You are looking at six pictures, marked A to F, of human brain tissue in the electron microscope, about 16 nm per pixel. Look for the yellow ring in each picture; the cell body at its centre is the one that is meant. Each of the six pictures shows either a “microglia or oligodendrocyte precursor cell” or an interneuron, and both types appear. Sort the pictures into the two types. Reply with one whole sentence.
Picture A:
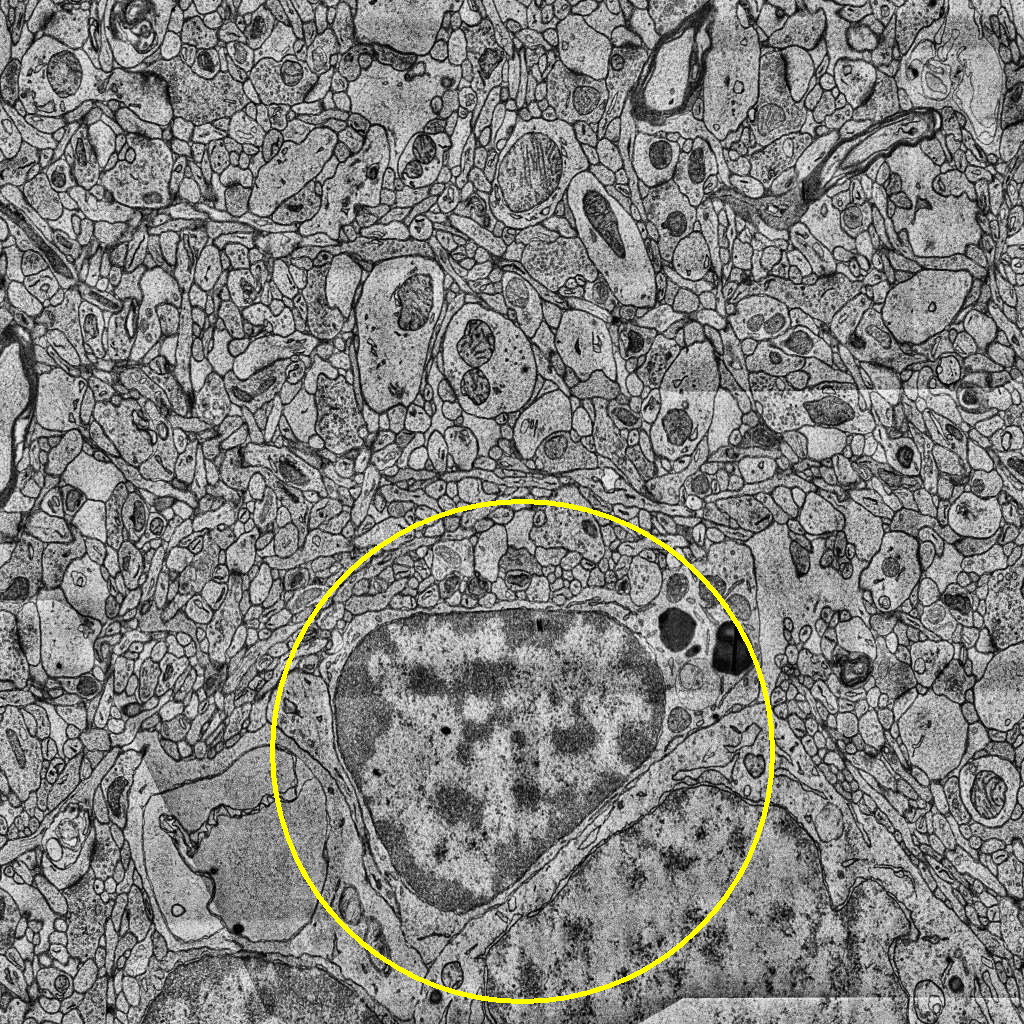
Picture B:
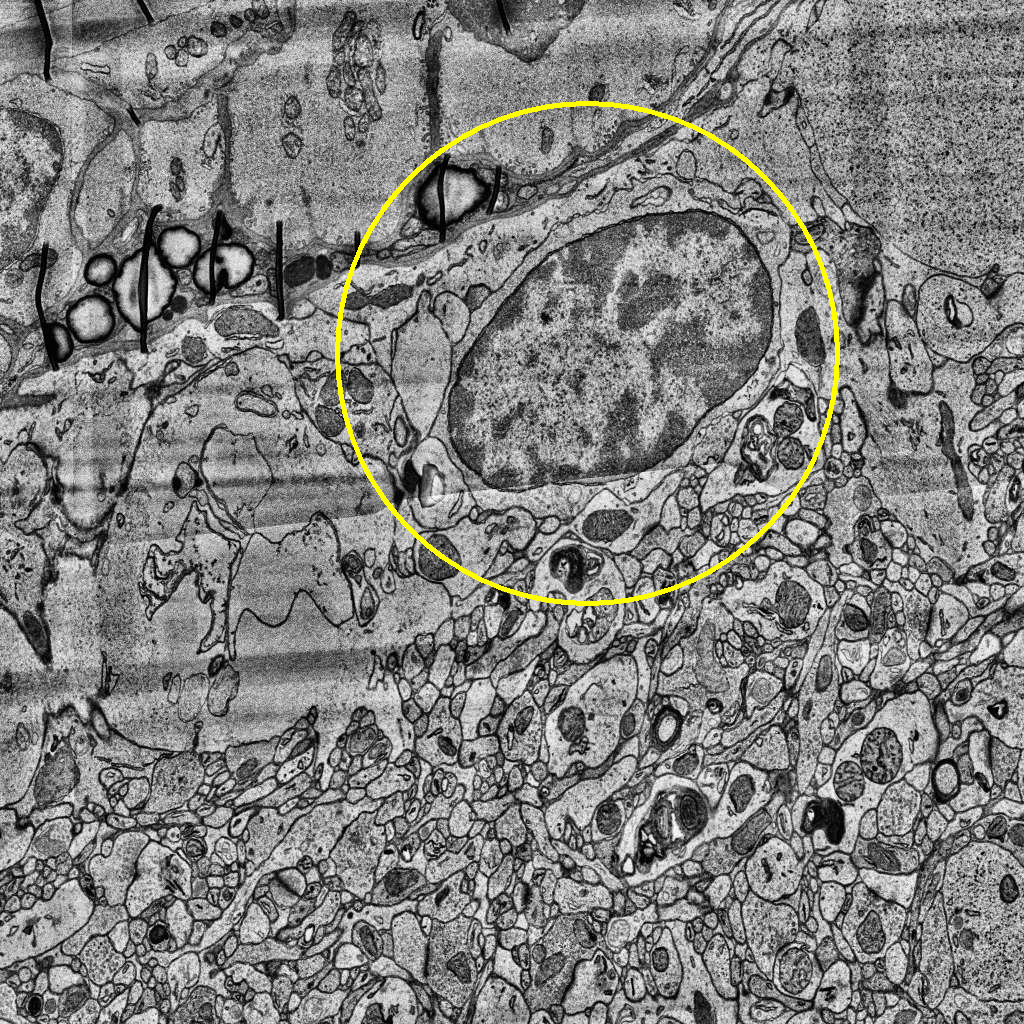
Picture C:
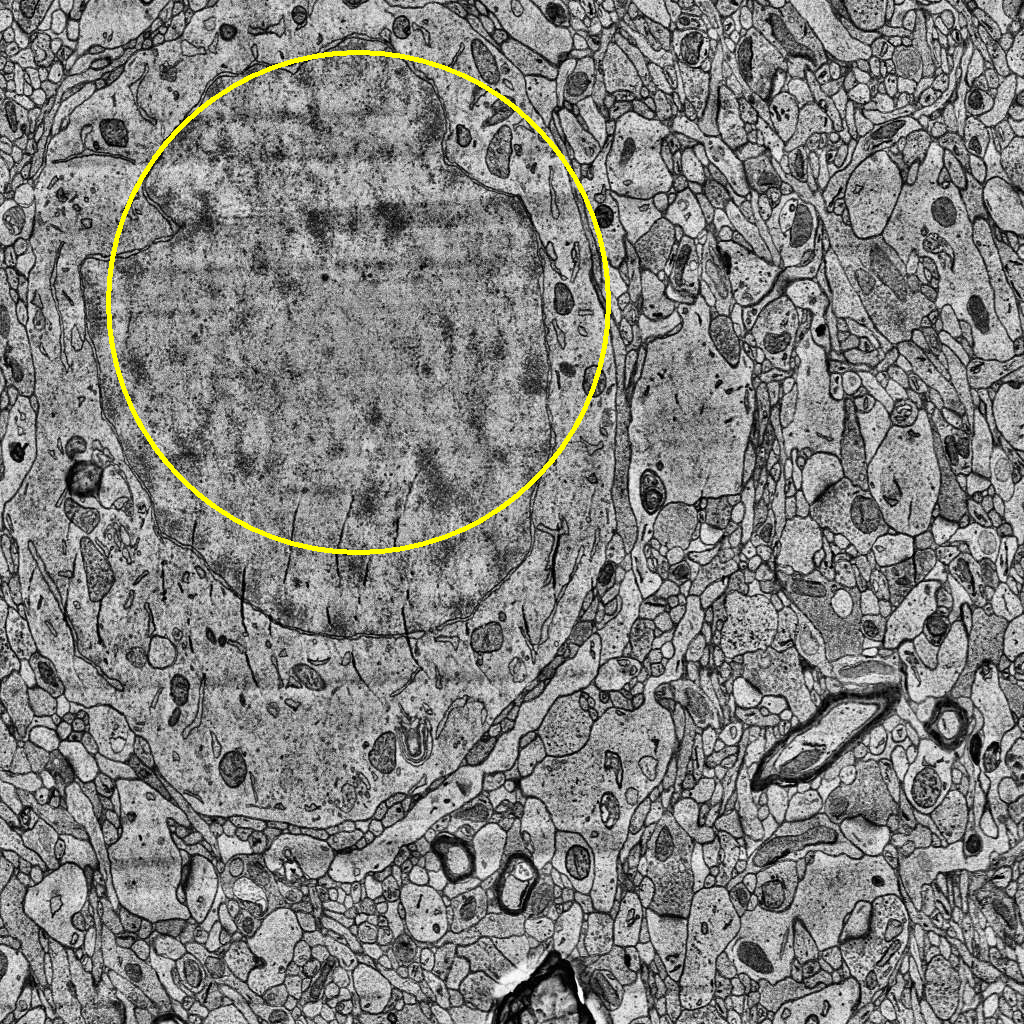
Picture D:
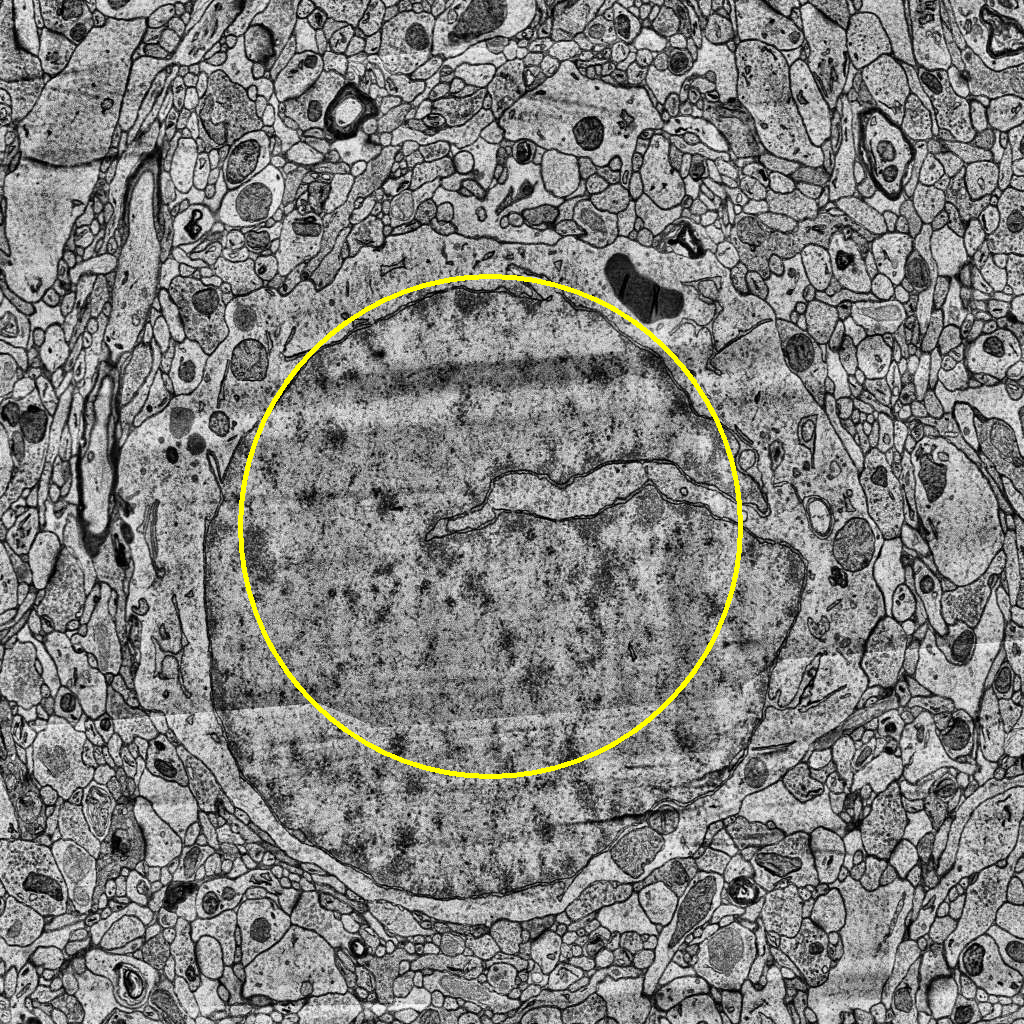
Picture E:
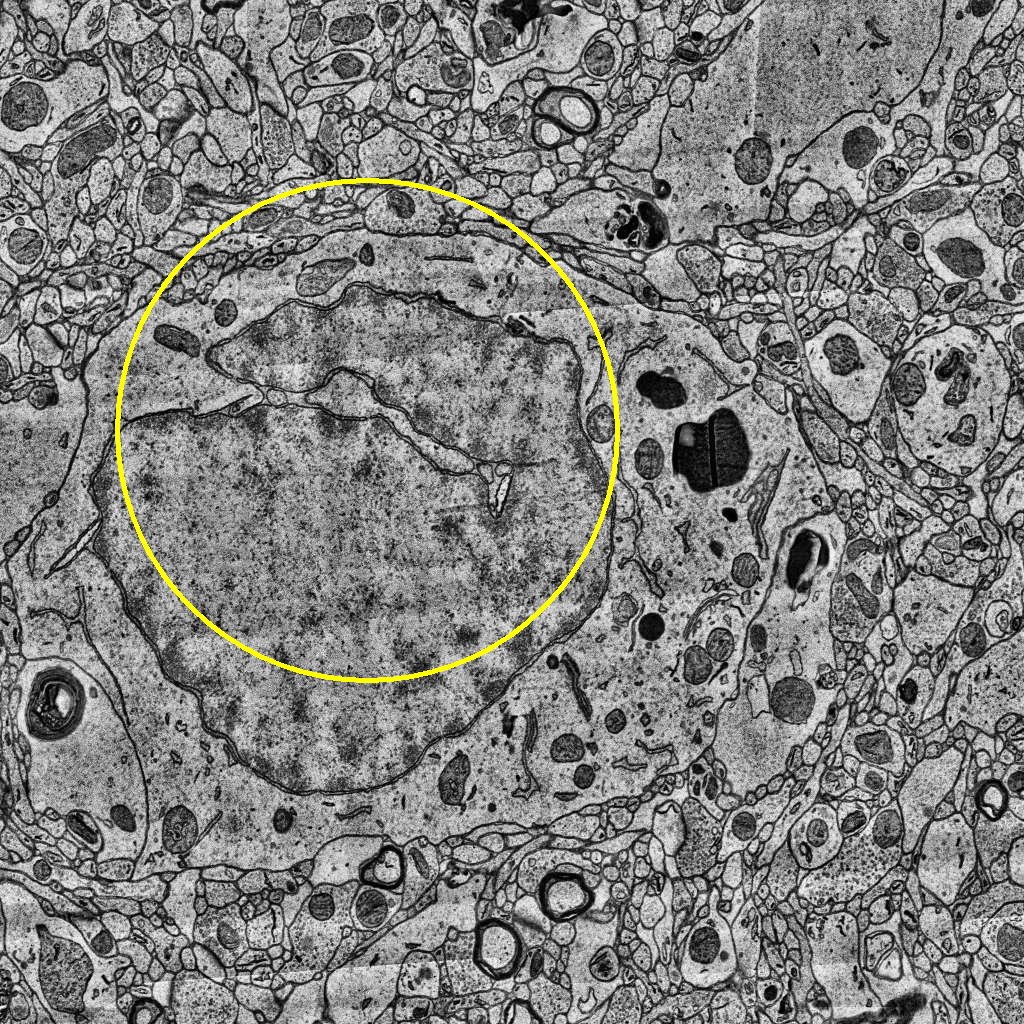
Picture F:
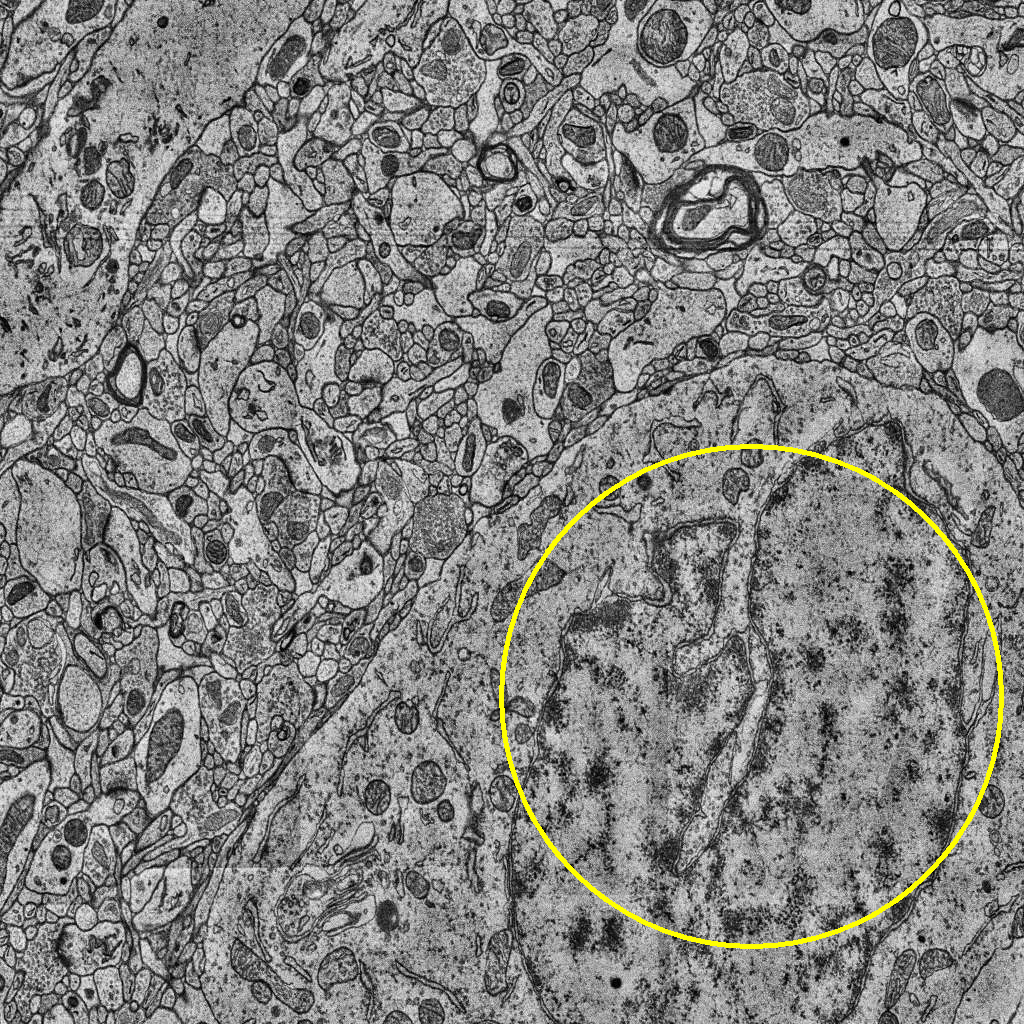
Pictures A and B show “microglia or oligodendrocyte precursor cells”, and pictures C, D, E and F show interneurons.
